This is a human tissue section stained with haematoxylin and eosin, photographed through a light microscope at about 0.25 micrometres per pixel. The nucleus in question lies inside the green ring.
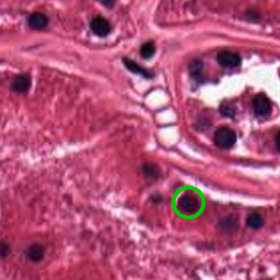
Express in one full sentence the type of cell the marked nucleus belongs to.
The marked nucleus is that of a proximal tubule cell in this section.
